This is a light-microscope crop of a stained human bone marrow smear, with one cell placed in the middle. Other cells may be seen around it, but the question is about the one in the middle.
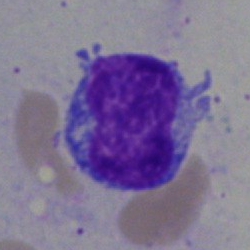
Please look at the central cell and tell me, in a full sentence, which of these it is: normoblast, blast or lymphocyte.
The cell occupying the middle of the crop is a blast.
